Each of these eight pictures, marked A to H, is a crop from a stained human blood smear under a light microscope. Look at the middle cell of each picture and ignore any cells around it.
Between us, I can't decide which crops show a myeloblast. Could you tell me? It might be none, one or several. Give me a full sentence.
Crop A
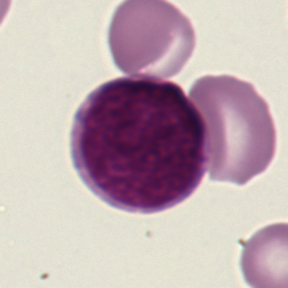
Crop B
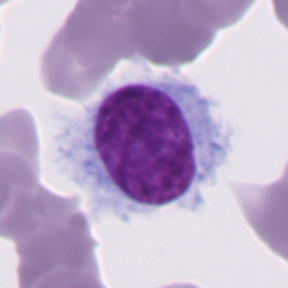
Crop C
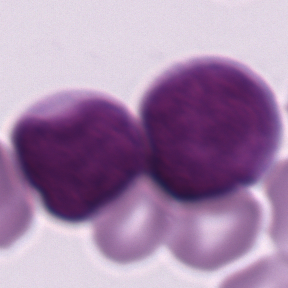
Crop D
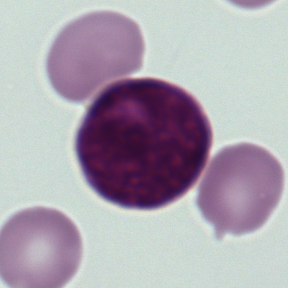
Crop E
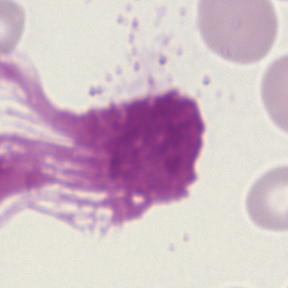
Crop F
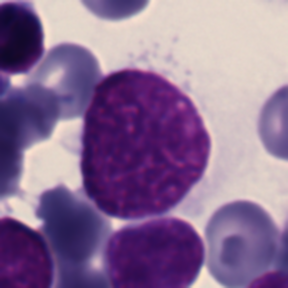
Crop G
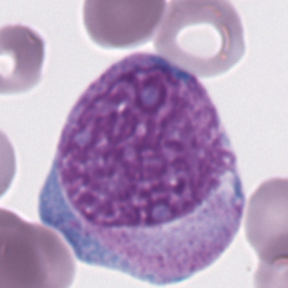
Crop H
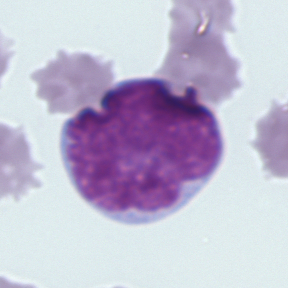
In the centres of crops A, C, D and H lie myeloblasts.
